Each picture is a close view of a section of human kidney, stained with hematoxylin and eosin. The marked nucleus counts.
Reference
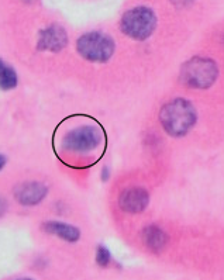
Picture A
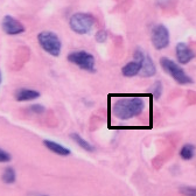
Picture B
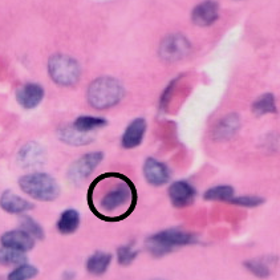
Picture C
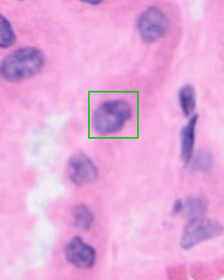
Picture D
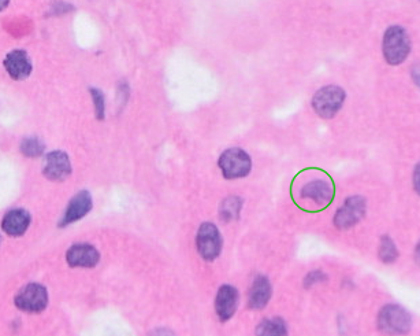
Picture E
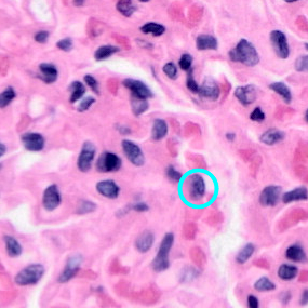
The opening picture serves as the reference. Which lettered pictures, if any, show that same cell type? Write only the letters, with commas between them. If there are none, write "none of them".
A, B, E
